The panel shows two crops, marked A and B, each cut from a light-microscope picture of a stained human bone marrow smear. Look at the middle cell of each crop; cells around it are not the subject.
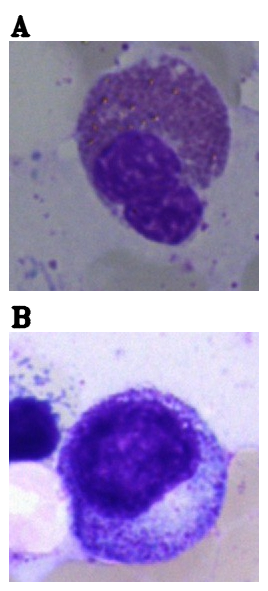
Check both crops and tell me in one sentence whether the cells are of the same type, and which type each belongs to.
No, crop A and crop B contain, respectively, an eosinophil and a promyelocyte.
